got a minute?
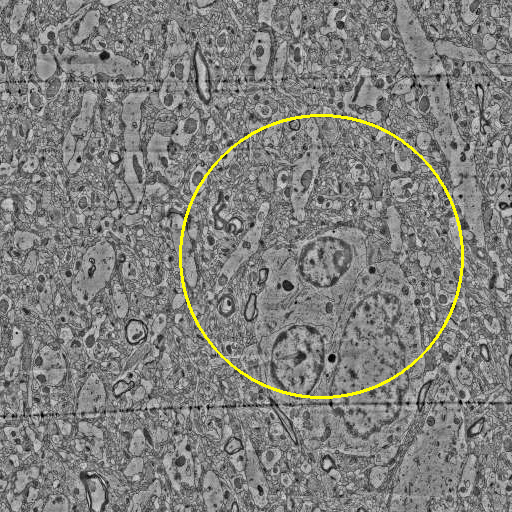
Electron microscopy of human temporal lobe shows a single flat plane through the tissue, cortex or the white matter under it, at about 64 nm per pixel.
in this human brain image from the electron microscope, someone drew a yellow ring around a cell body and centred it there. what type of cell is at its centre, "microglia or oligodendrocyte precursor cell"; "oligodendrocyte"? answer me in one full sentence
It's a microglial cell or oligodendrocyte precursor cell at the middle of that yellow ring in the shot.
